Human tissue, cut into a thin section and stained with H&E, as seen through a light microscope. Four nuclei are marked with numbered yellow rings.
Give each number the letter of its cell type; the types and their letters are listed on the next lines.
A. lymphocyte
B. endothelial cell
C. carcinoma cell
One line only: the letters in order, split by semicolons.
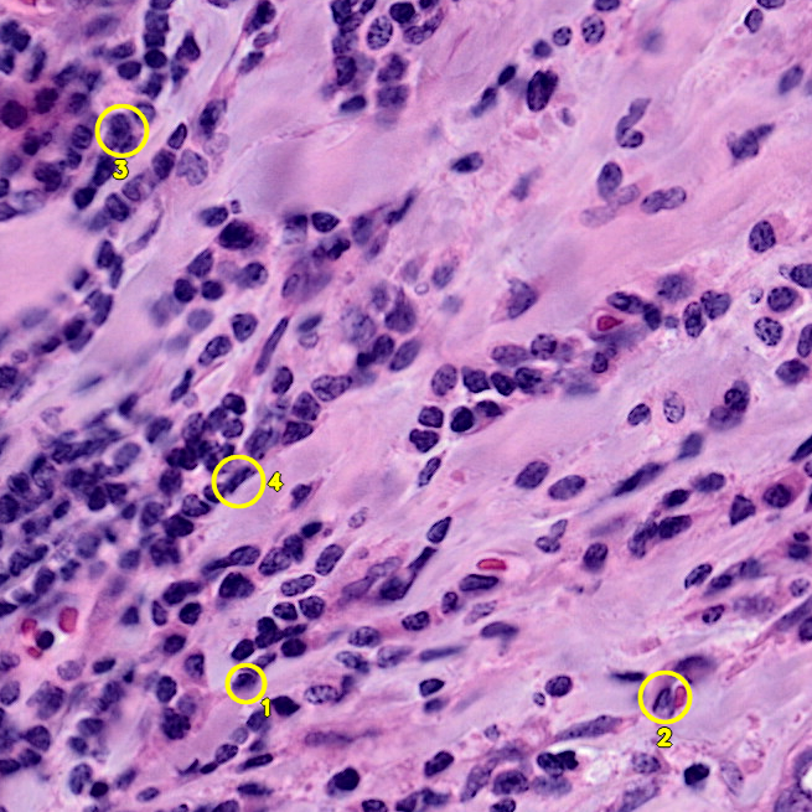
A; B; A; A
